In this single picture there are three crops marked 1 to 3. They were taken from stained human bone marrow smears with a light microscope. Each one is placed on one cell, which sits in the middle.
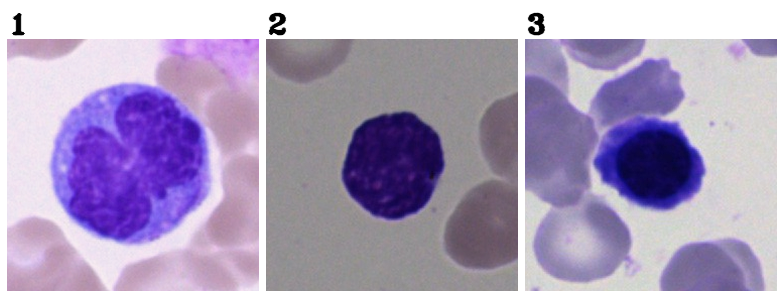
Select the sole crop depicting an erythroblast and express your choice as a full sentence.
Of the cells presented, the one in crop 3 is an erythroblast.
